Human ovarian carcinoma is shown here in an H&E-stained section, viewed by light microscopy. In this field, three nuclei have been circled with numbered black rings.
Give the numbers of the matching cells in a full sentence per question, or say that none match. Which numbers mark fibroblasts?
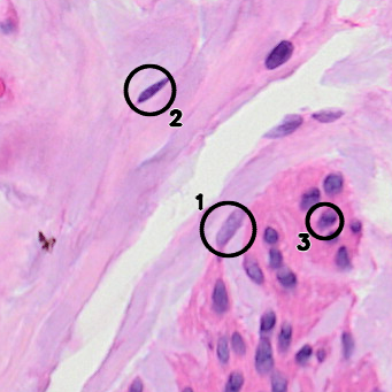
Just one numbered cell is a fibroblast, and that cell is number 2.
